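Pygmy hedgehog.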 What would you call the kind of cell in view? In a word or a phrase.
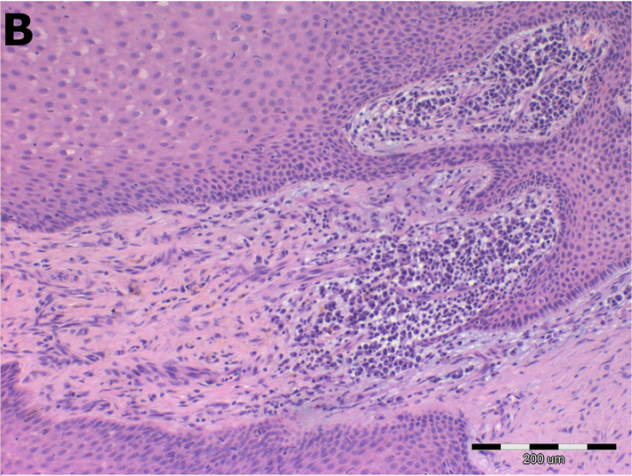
Mononuclear inflammatory cells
